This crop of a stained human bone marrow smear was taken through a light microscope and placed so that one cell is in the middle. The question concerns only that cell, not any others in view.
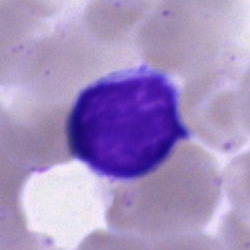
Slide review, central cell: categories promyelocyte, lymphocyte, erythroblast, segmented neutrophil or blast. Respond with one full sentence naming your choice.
This particular crop is centered on a lymphocyte.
